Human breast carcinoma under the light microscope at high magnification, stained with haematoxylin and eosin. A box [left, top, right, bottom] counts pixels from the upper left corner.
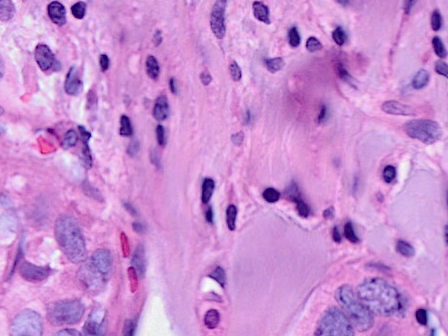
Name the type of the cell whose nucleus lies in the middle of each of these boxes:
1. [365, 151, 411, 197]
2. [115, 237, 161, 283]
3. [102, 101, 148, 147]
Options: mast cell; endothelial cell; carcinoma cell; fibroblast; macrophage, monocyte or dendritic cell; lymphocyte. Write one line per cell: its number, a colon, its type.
1: mast cell
2: endothelial cell
3: lymphocyte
